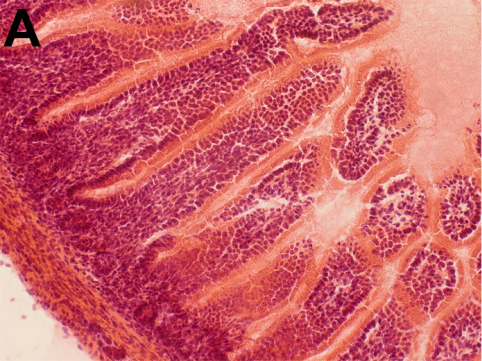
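This is small intestinal wall stained with hematoxylin and eosin, with a pink muscular layer at the lower left and villi radiating toward the lumen. The villi are long and slender, covered by a single layer of columnar epithelial cells with densely packed purple nuclei.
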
